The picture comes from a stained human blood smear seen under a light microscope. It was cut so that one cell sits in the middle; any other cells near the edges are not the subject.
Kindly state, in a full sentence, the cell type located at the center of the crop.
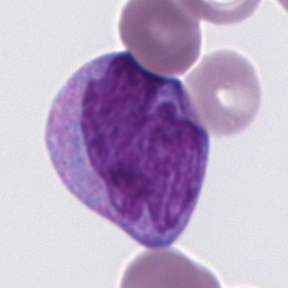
The cell in the middle of this crop is an atypical promyelocyte.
